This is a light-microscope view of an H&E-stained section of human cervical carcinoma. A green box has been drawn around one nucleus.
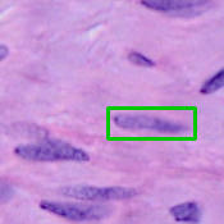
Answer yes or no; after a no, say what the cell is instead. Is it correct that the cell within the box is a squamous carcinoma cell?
No, it is a fibroblast.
